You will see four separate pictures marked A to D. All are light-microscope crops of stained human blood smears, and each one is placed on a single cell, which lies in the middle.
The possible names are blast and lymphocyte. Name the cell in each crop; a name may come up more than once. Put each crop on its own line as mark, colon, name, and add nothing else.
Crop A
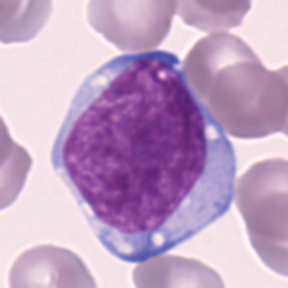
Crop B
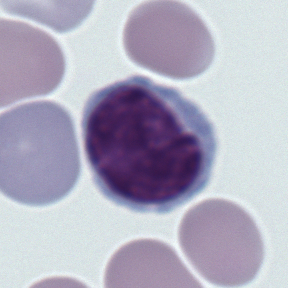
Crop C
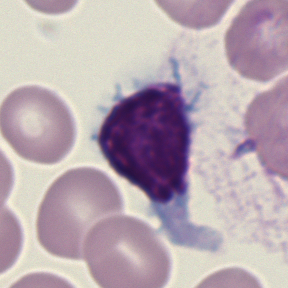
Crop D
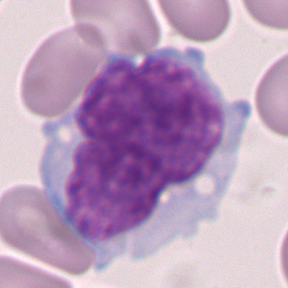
A: blast
B: lymphocyte
C: lymphocyte
D: blast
